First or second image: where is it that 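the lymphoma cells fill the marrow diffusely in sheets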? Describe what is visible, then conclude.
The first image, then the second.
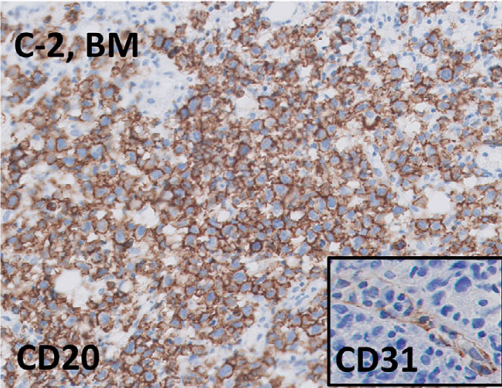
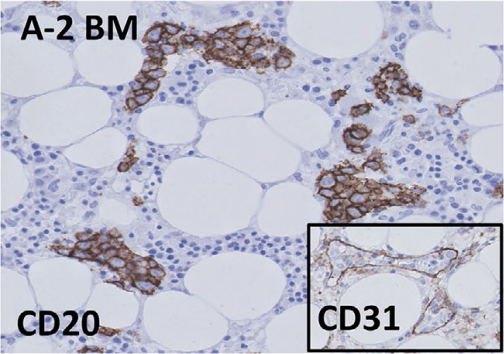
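First image: brown-stained cells form a continuous sheet across nearly the whole field. Second image: brown-stained cells form small separate clusters among fat cells and unstained marrow.
The first image.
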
